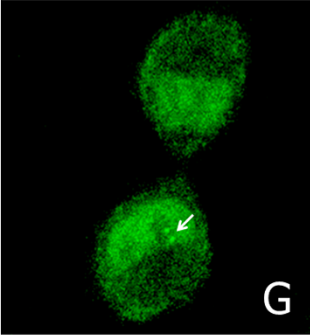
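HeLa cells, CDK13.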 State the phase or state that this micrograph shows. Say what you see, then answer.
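Two rounded cells lie close one above the other as a mirrored pair. The answer: telophase.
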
